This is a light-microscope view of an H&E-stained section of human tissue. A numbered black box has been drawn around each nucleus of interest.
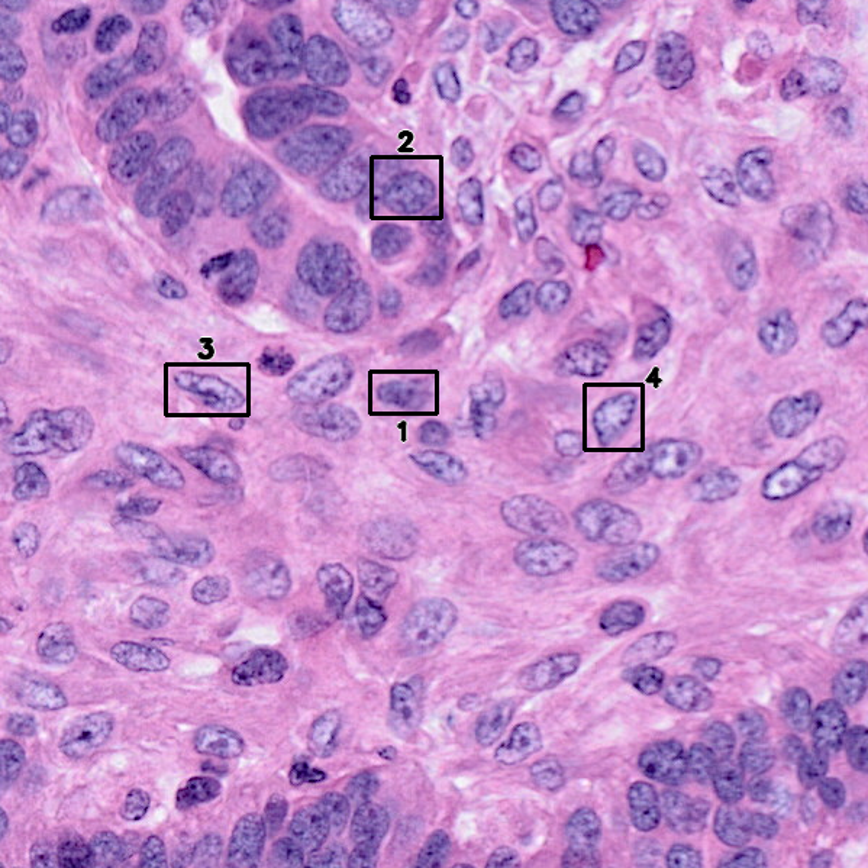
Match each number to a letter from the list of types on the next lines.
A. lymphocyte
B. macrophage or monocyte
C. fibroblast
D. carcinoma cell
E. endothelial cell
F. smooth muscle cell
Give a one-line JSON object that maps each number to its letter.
{"1": "C", "2": "D", "3": "C", "4": "C"}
